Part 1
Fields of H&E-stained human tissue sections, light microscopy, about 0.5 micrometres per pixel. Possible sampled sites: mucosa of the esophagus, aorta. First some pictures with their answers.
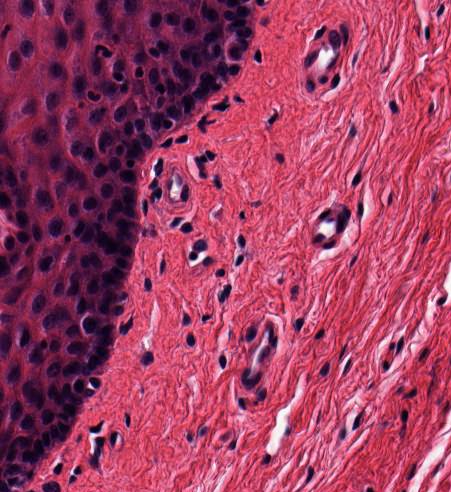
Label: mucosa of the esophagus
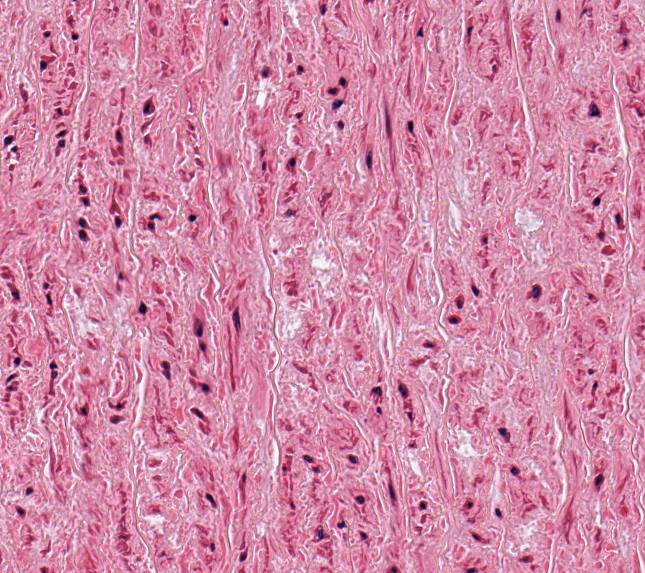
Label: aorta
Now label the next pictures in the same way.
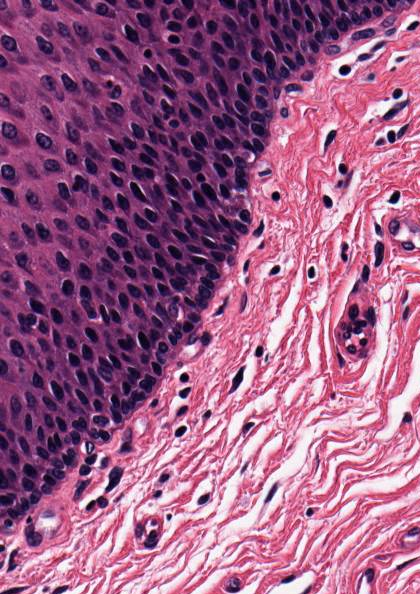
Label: mucosa of the esophagus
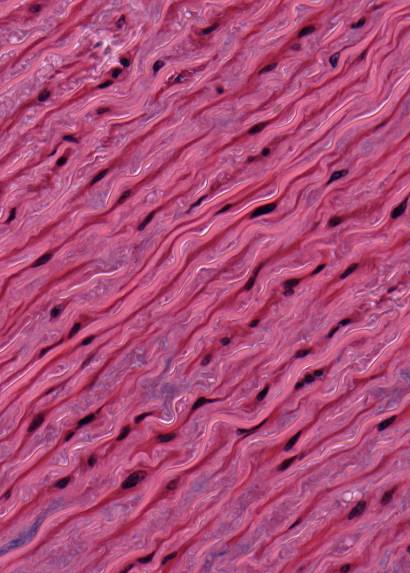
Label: aorta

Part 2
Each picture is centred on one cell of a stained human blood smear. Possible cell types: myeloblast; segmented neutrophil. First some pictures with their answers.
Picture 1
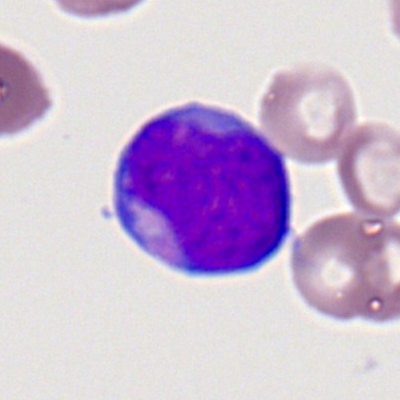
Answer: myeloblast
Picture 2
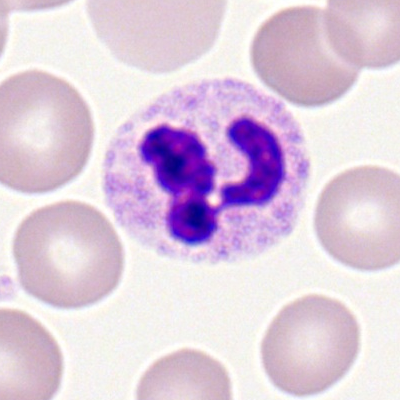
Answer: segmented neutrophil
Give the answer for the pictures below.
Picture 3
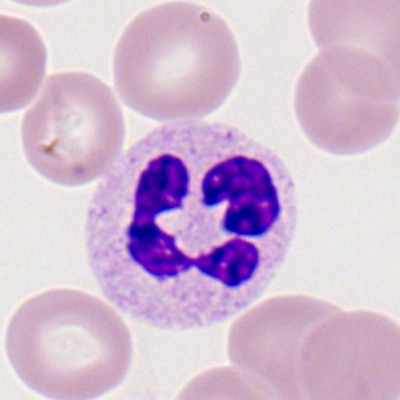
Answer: segmented neutrophil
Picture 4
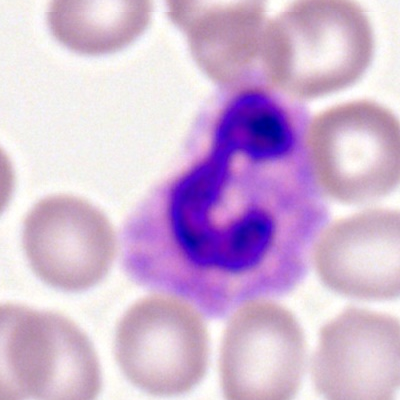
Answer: segmented neutrophil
